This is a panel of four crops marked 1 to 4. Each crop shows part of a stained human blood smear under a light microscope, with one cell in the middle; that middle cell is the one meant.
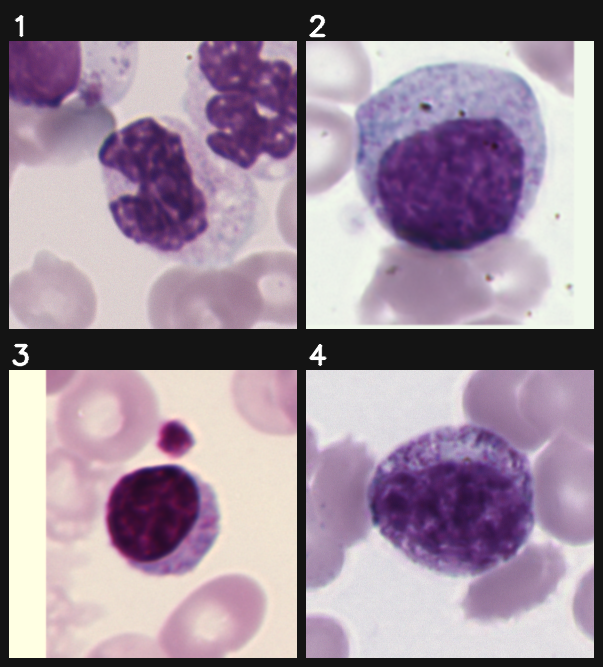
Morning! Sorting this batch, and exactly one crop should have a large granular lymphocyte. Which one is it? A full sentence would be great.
In the set of crops, crop 3 is the one that contains a large granular lymphocyte.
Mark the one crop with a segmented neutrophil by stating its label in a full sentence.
The crop carrying a segmented neutrophil at the center is crop 1.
